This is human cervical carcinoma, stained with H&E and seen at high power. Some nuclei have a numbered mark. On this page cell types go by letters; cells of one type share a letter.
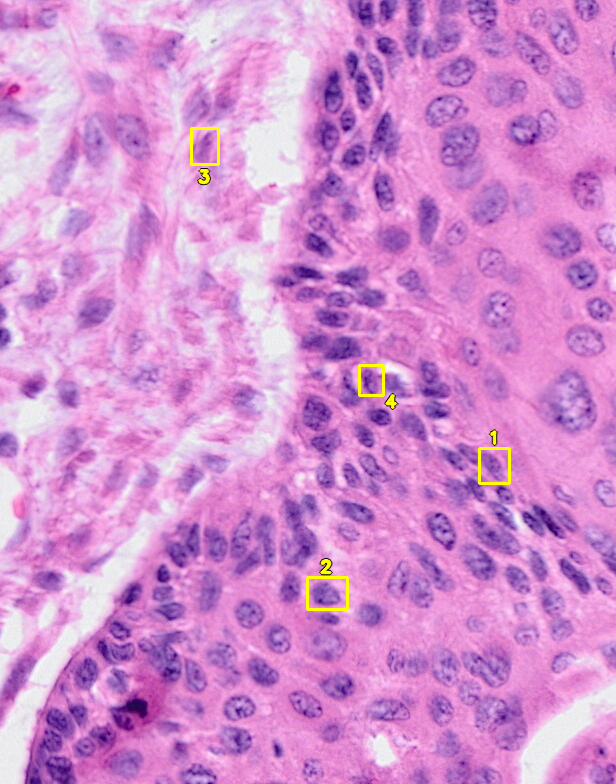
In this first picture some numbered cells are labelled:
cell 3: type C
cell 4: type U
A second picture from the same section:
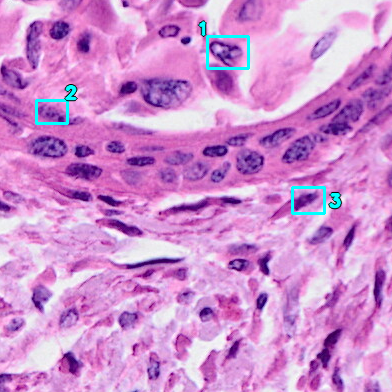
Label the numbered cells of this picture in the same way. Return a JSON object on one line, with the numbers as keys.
{"1": "type U", "2": "type U", "3": "type C"}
